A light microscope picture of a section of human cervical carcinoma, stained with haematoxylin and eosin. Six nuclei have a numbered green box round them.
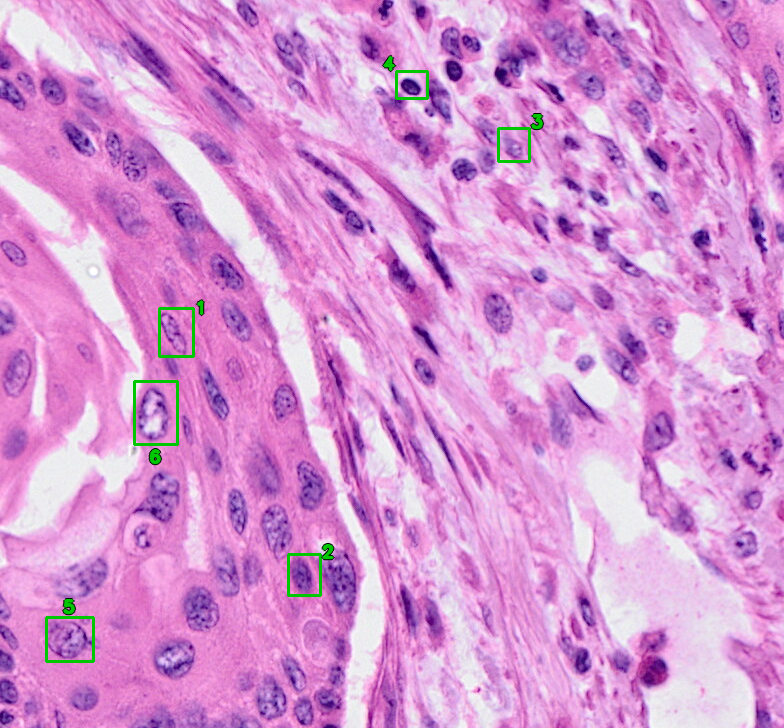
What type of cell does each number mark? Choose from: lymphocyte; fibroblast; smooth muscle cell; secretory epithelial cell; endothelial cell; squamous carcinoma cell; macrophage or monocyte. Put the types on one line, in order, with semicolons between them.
squamous carcinoma cell; squamous carcinoma cell; fibroblast; lymphocyte; squamous carcinoma cell; squamous carcinoma cell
